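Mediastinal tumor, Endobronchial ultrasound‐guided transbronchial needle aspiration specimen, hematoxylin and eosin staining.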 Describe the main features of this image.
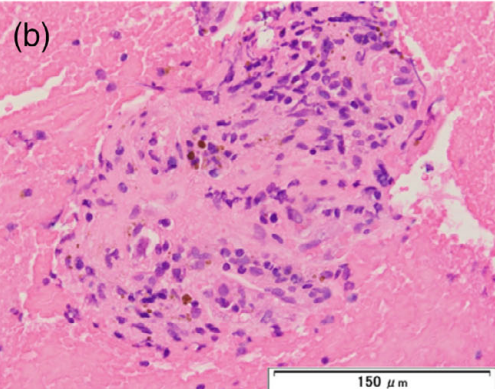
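A small cluster of spindle-shaped cells lies embedded in a broad pink background of blood. The cells have elongated, tapering dark purple nuclei, some curved, with scant pale cytoplasm, and they are loosely arranged in a small nest rather than a large sheet. Among them sit a few coarse golden-brown pigment granules. Around the cluster the pink material is largely without nuclei, with only occasional cells scattered at the edges. The sample thus holds mostly blood, with only a few lesional spindle cells available for assessment.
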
